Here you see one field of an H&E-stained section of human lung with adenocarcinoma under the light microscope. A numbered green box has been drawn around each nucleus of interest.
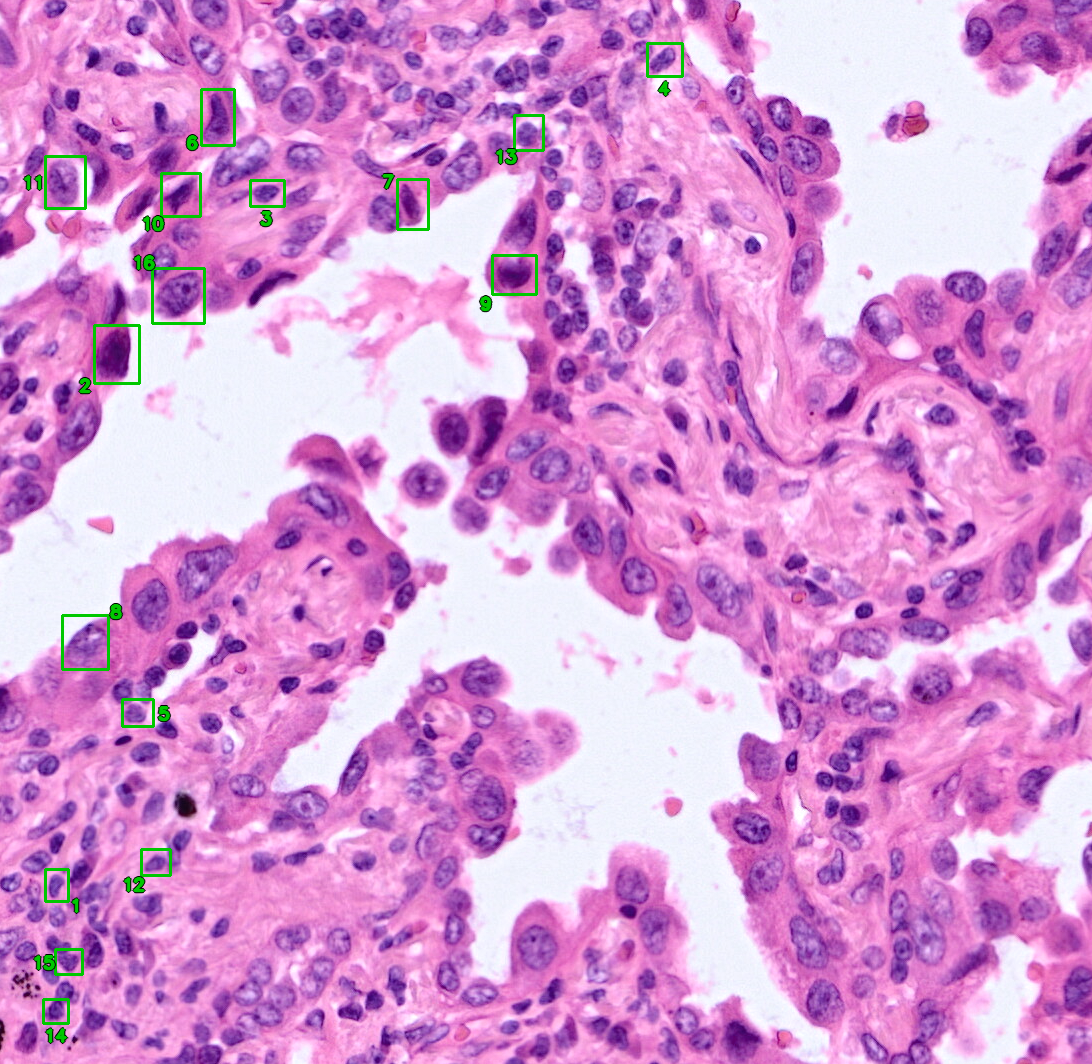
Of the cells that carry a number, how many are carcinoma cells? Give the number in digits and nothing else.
8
